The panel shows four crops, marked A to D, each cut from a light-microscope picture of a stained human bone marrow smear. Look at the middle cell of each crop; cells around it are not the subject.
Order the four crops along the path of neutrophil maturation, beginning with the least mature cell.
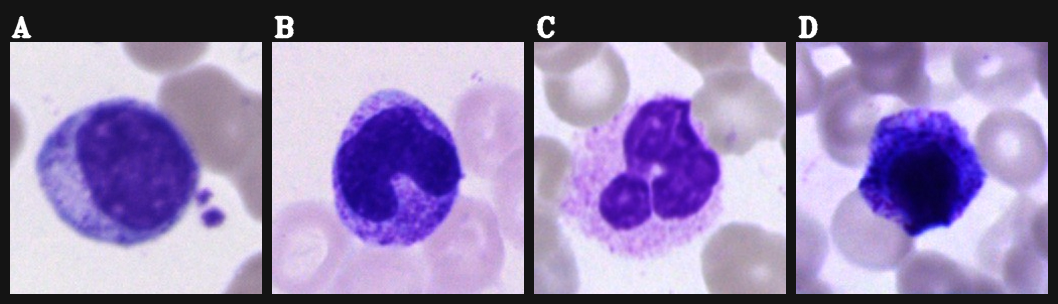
D, A, B, C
